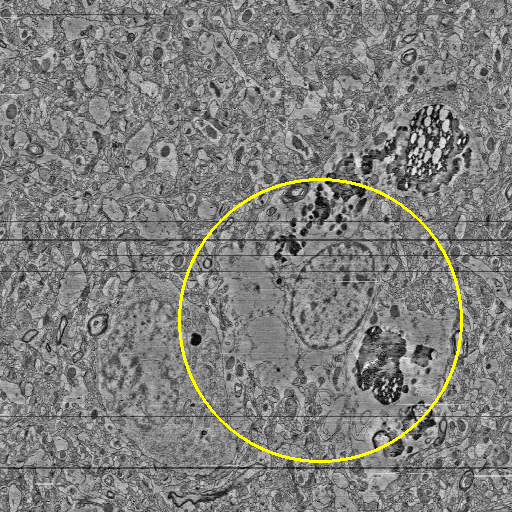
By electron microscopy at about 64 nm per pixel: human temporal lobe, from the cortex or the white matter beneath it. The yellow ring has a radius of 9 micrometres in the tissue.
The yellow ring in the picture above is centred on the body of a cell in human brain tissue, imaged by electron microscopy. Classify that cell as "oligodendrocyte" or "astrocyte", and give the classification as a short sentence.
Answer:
The cell in the middle of the ring is an astrocyte.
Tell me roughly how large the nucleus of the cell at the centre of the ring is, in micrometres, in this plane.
In this plane, approximately 7 by 5 micrometers.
